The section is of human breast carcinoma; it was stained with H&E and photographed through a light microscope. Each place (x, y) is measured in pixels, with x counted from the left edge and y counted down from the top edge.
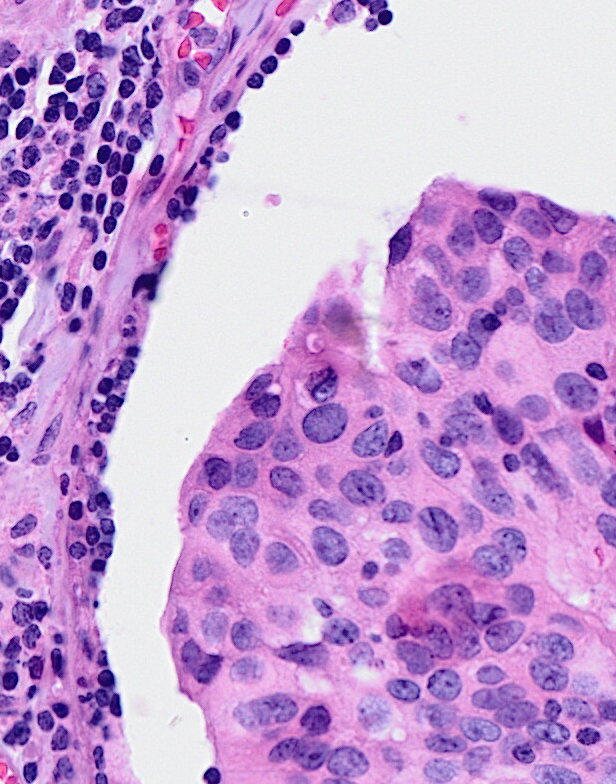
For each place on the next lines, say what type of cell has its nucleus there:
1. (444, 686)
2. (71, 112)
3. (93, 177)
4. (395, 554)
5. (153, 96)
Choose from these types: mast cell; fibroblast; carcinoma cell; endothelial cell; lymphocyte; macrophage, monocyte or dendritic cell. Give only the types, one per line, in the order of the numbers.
carcinoma cell
lymphocyte
lymphocyte
carcinoma cell
lymphocyte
